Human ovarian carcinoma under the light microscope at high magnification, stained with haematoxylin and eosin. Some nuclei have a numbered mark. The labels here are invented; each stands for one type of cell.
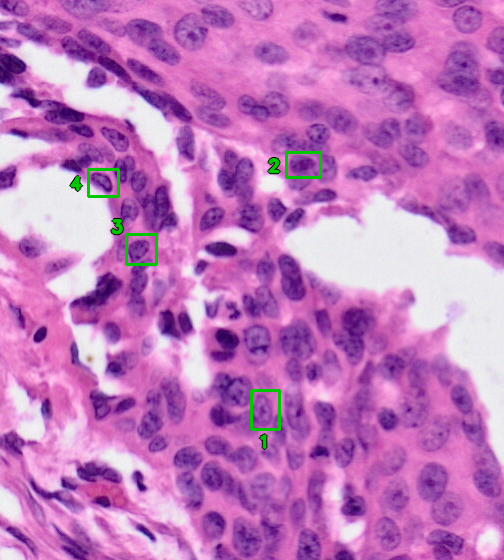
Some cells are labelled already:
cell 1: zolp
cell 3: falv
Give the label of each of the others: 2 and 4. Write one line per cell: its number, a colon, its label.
2: zolp
4: falv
